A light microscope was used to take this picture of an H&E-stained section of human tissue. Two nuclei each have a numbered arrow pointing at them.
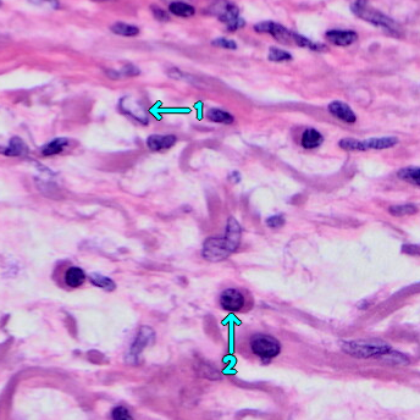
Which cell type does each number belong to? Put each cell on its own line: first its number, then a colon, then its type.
1: fibroblast or myofibroblast
2: plasma cell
